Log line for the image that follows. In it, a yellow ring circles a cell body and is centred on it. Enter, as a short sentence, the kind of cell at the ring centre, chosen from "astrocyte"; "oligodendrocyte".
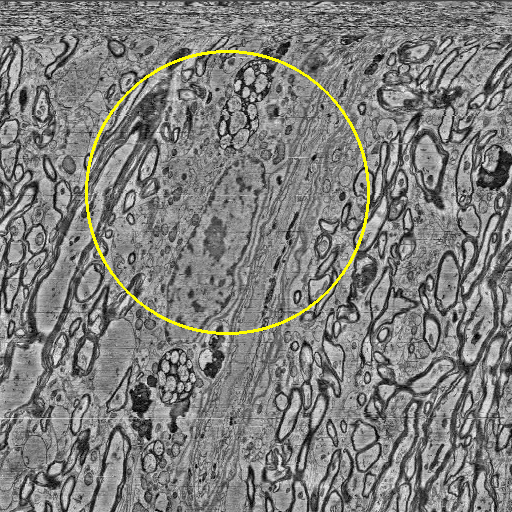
The ring centre is occupied by an astrocyte.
